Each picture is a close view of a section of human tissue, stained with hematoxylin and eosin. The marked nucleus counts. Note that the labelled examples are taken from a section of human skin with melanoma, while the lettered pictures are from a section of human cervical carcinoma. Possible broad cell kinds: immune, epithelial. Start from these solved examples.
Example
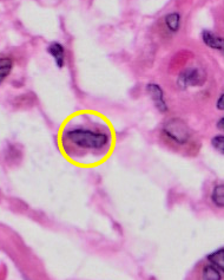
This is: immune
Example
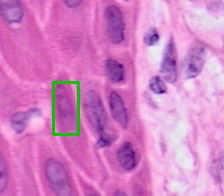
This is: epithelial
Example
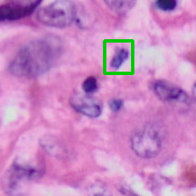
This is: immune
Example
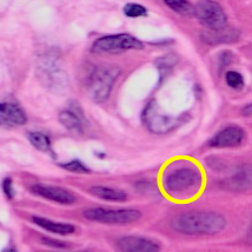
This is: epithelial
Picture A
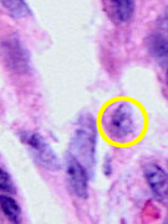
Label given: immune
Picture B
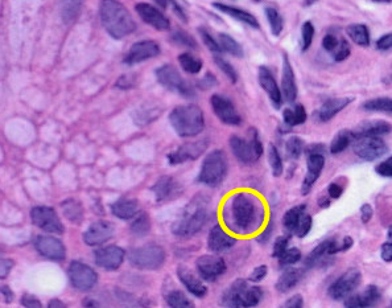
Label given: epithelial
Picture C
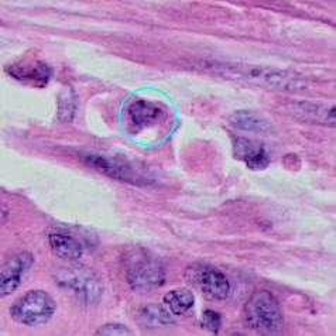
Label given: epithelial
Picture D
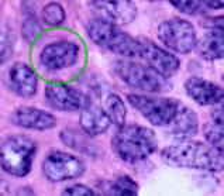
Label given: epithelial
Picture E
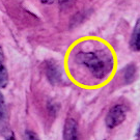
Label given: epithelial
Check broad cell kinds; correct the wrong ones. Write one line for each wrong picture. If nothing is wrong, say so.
C: change epithelial to immune
E: change epithelial to immune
